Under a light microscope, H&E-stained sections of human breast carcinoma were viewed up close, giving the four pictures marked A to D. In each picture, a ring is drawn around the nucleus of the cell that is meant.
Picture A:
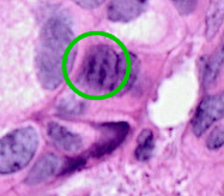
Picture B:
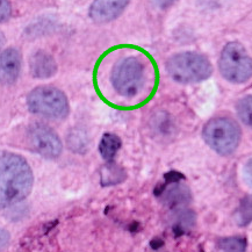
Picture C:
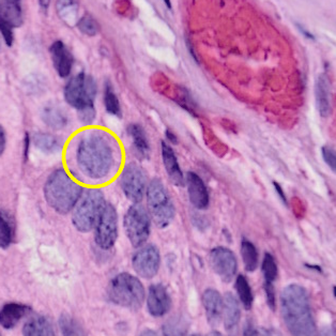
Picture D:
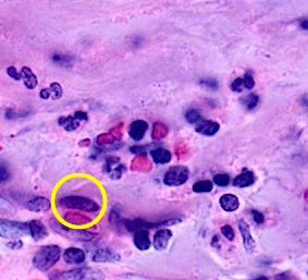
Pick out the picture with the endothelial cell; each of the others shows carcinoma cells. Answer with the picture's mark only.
D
